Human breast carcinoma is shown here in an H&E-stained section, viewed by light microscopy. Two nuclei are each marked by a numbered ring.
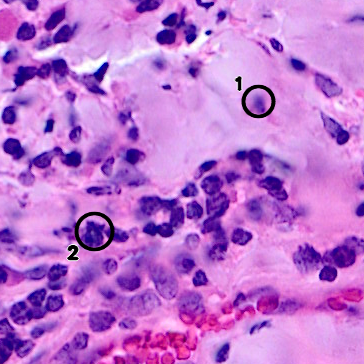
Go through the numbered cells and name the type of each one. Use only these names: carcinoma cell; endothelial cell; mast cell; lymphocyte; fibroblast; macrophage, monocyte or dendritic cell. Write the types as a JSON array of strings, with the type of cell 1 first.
["mast cell", "lymphocyte"]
